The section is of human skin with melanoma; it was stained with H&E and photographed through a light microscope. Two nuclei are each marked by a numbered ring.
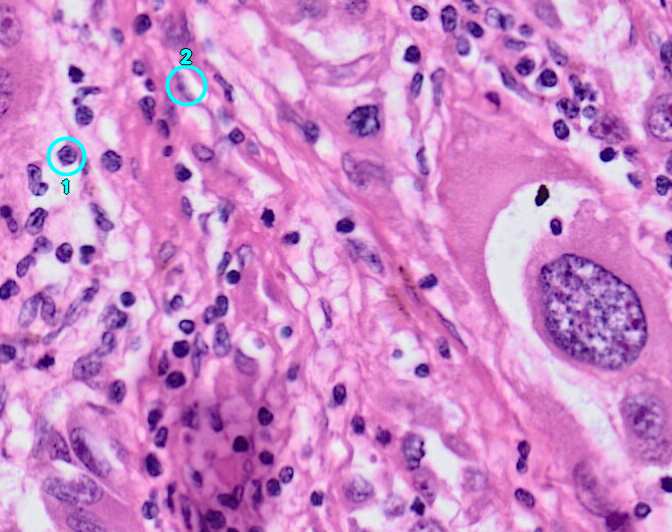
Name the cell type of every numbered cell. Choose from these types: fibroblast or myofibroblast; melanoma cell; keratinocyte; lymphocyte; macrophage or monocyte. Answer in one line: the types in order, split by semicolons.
lymphocyte; fibroblast or myofibroblast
